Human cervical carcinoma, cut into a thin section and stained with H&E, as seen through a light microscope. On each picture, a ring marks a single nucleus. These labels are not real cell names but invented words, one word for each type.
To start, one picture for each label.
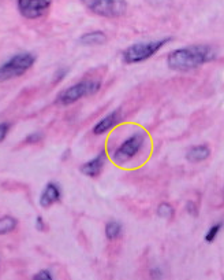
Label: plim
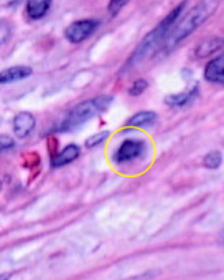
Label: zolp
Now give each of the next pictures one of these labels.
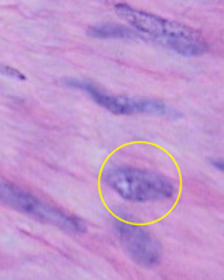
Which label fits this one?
plim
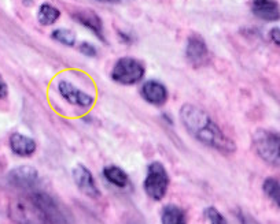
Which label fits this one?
zolp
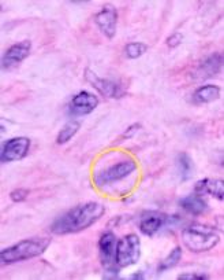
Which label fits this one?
plim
